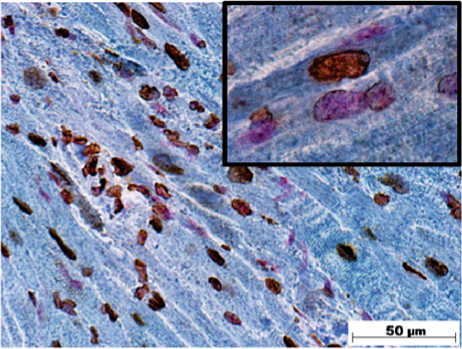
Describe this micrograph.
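This is heart muscle with cardiomyocytes running diagonally across the field, their blue cytoplasm faintly striated. The nuclei are mixed. Some are dark brown and oval, and others are pink to purple-red and more slender, several of them lying in the spaces between the fibres. In the inset a brown nucleus sits beside pink-red nuclei within the striated muscle.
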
